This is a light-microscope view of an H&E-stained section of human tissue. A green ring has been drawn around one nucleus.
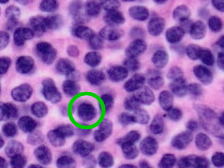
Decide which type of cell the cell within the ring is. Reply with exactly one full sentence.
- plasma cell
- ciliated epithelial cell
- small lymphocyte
As to its cell type, the cell within the ring is a small lymphocyte.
